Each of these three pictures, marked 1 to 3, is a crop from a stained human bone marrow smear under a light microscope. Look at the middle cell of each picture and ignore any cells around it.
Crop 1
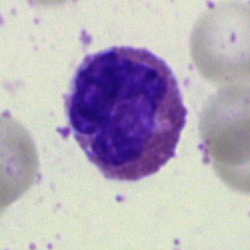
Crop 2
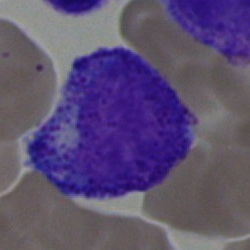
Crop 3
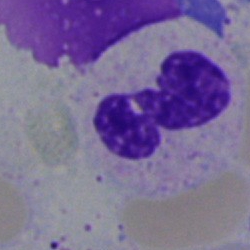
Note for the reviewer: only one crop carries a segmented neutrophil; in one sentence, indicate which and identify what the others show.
The cell in crop 3 is a segmented neutrophil, while crop 1 is an eosinophil and crop 2 is a promyelocyte.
